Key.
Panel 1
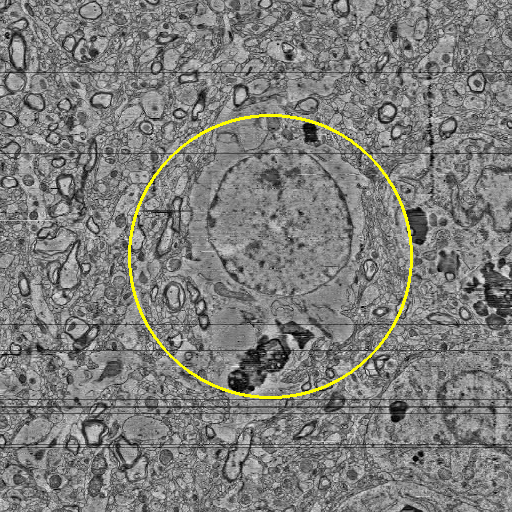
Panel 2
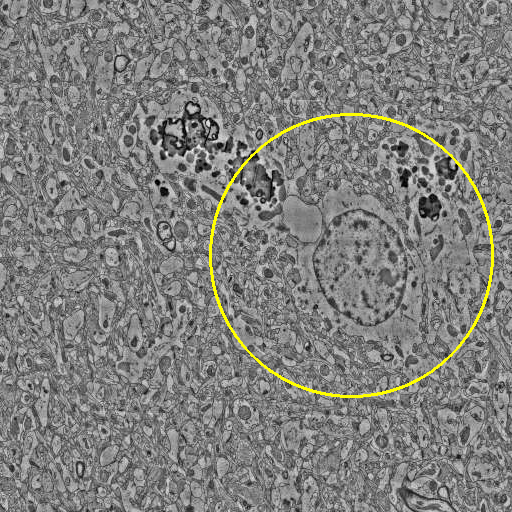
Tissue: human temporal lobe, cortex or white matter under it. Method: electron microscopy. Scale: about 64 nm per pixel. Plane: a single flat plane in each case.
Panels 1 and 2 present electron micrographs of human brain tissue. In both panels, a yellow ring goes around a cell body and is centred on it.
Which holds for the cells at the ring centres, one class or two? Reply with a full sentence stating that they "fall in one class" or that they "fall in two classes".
Taken together, the ring-centre cells of the two panels fall in one class.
